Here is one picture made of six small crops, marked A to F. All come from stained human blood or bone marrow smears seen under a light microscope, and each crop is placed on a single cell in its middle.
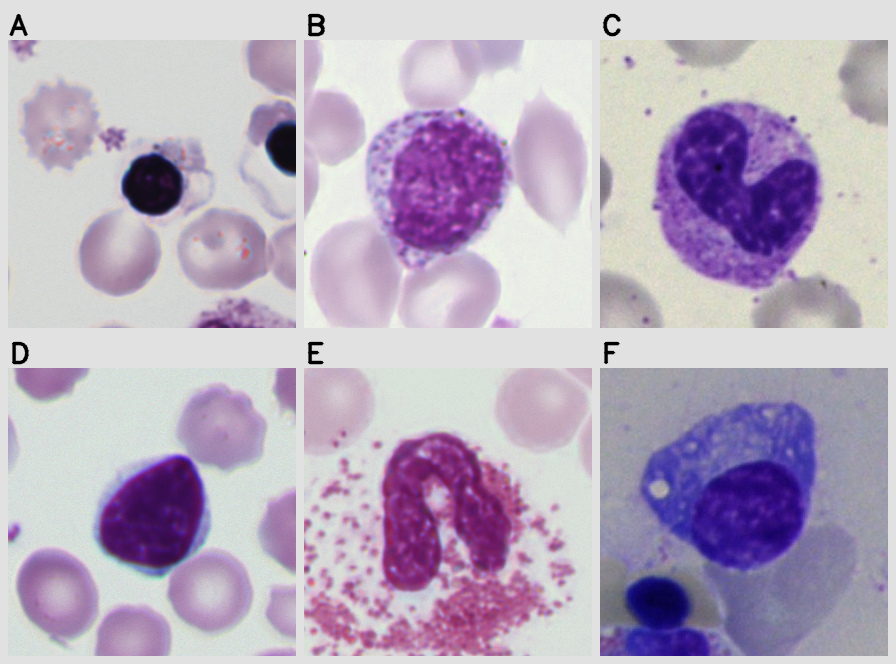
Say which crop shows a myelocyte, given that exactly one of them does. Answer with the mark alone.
B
